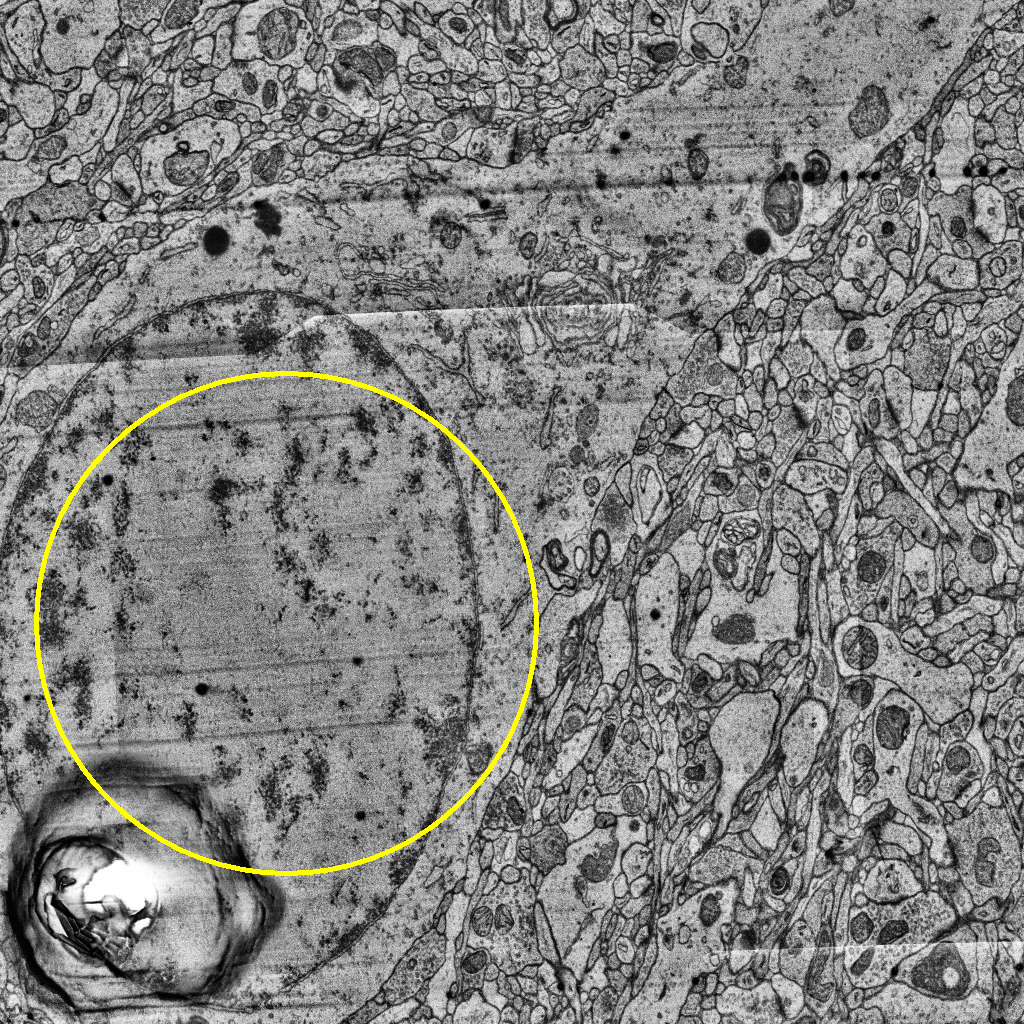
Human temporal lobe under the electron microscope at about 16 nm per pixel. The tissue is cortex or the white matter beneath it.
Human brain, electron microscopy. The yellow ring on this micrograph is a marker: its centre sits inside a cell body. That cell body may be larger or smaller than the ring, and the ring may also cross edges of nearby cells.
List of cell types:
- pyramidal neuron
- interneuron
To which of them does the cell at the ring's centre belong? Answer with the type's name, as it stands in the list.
pyramidal neuron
